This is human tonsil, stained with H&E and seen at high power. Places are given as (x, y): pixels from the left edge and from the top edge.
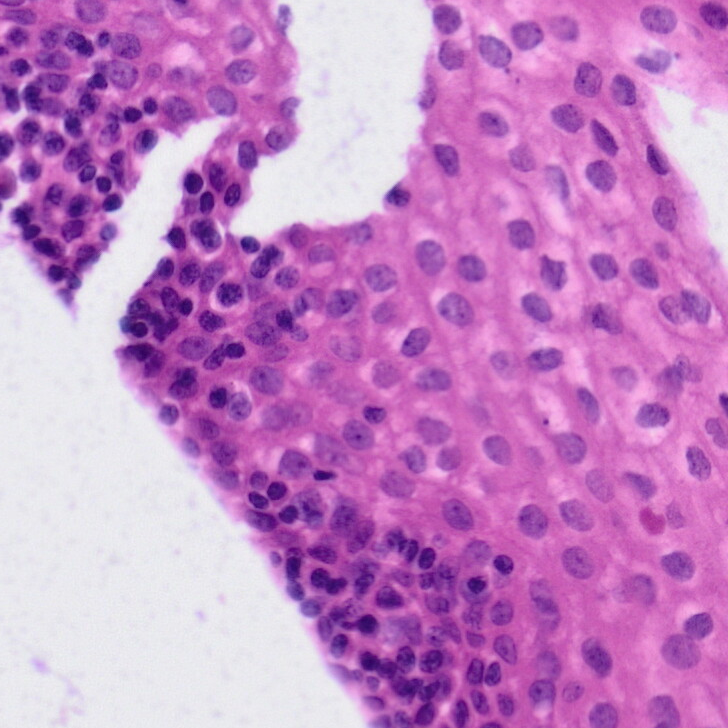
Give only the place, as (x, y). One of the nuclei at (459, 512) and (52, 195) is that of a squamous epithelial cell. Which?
(459, 512)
